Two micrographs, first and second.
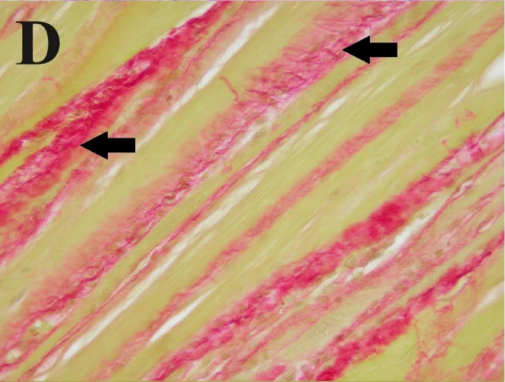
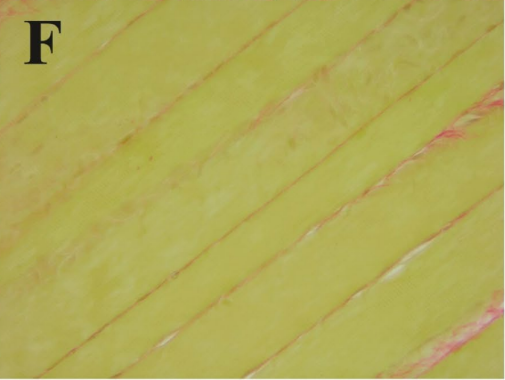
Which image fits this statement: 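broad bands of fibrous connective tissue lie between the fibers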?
The first image.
